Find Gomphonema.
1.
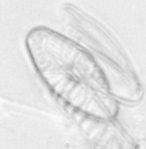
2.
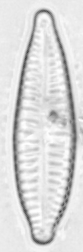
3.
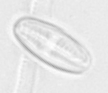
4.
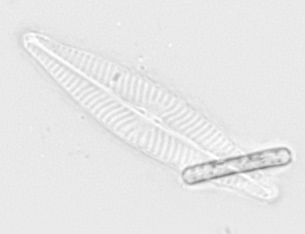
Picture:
2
